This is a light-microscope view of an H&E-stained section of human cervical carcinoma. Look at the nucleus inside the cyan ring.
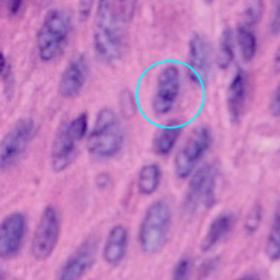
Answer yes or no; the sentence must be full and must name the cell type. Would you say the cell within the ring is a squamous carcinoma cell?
Yes, the cell within the ring is categorized as a squamous carcinoma cell in this section.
